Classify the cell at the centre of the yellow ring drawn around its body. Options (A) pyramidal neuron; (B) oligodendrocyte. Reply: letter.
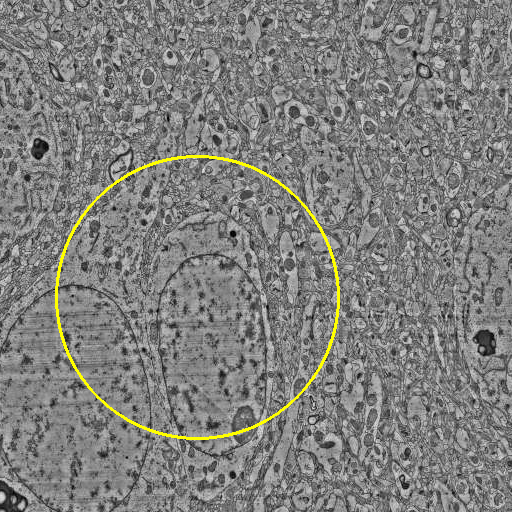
A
